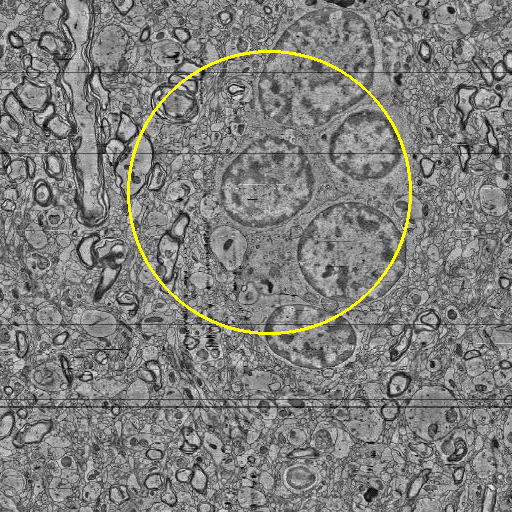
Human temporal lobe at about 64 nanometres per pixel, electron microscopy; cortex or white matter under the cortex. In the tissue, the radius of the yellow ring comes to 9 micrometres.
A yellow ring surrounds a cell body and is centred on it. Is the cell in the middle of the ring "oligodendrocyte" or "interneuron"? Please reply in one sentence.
The ring is centred on an oligodendrocyte.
